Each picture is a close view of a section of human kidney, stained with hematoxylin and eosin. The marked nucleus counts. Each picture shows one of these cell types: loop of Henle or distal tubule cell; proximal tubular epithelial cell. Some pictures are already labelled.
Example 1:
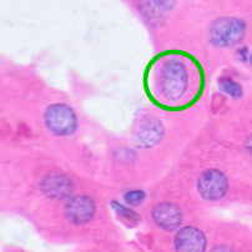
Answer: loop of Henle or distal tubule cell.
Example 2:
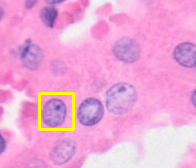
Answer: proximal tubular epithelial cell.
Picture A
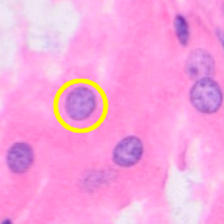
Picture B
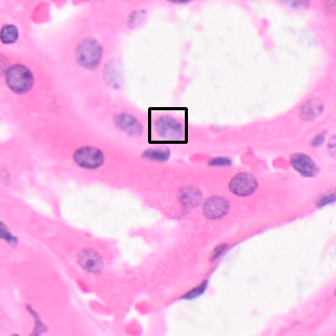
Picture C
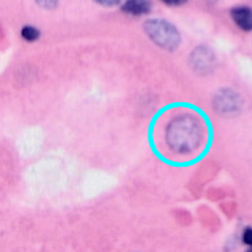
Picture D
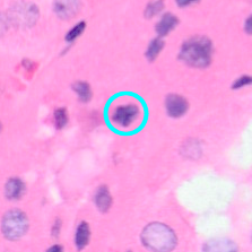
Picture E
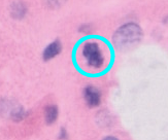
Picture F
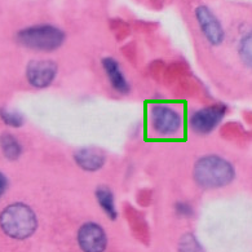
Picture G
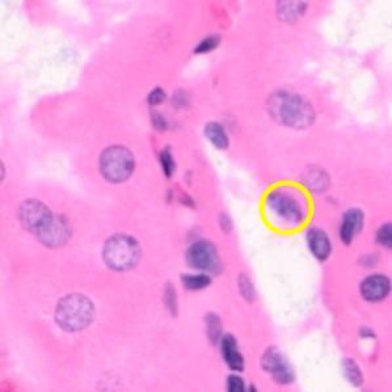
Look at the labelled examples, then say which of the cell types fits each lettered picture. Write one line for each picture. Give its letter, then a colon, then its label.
A: proximal tubular epithelial cell.
B: loop of Henle or distal tubule cell.
C: proximal tubular epithelial cell.
D: loop of Henle or distal tubule cell.
E: loop of Henle or distal tubule cell.
F: loop of Henle or distal tubule cell.
G: loop of Henle or distal tubule cell.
